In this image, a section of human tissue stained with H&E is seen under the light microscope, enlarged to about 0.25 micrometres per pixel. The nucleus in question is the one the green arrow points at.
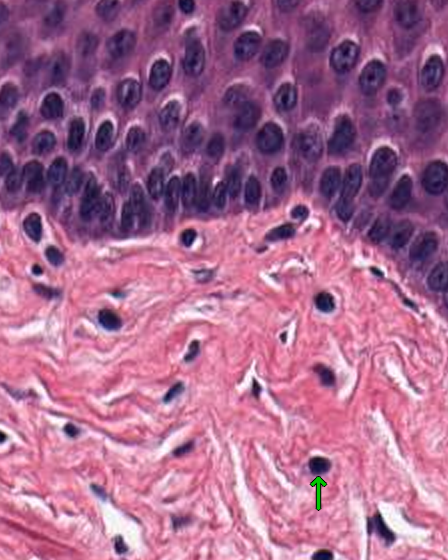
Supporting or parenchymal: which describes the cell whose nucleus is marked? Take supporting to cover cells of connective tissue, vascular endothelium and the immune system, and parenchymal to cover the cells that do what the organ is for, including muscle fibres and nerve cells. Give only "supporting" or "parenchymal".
supporting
